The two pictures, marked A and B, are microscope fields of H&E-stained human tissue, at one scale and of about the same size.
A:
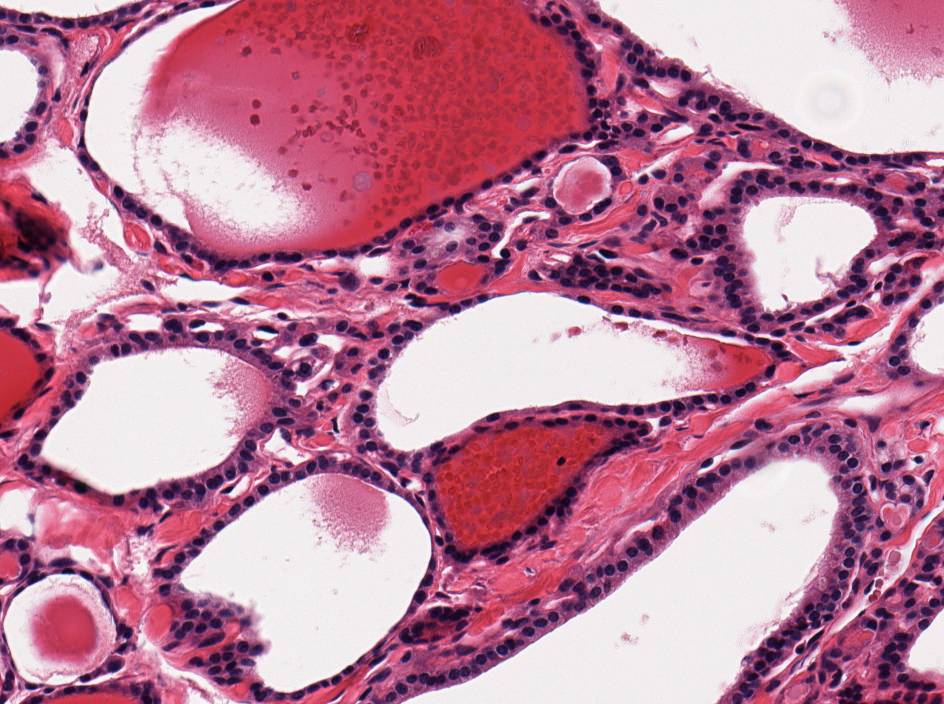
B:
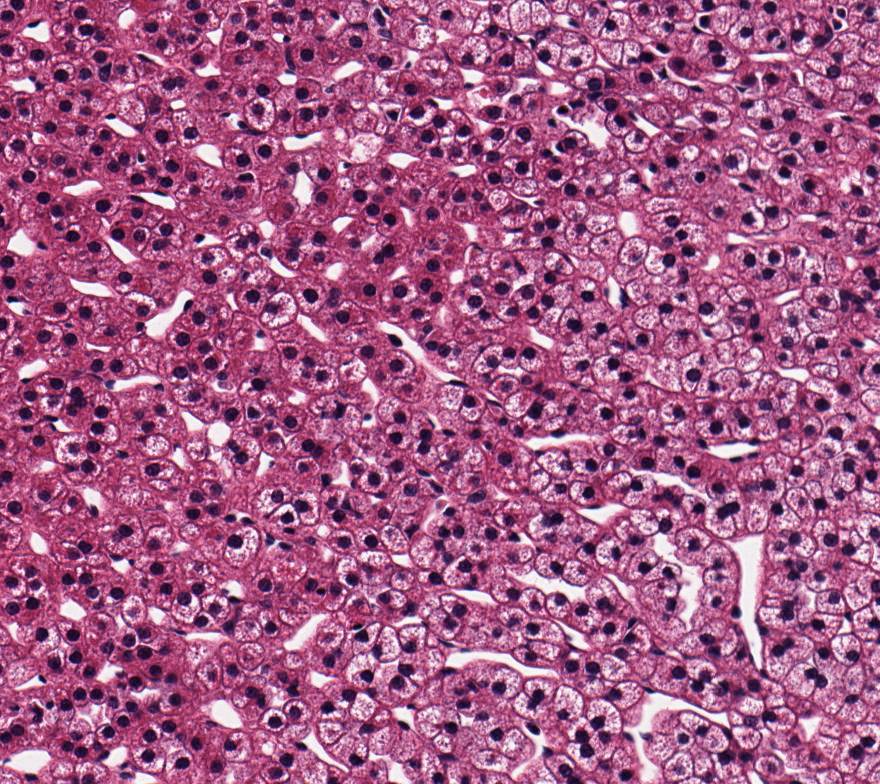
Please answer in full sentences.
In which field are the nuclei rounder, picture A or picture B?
Rounder nuclei lie in picture B.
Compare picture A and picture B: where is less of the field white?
It is picture B that stained tissue fills more completely.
